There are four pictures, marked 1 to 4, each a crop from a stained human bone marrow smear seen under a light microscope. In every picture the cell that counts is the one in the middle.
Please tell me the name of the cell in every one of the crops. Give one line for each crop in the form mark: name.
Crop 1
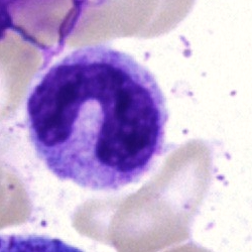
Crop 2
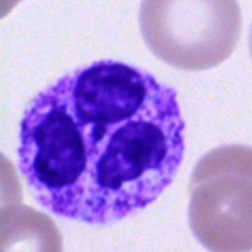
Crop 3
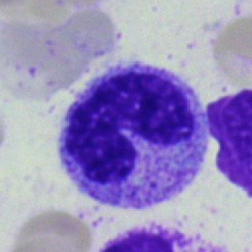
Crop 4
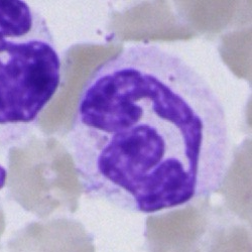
1: band neutrophil
2: segmented neutrophil
3: band neutrophil
4: segmented neutrophil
